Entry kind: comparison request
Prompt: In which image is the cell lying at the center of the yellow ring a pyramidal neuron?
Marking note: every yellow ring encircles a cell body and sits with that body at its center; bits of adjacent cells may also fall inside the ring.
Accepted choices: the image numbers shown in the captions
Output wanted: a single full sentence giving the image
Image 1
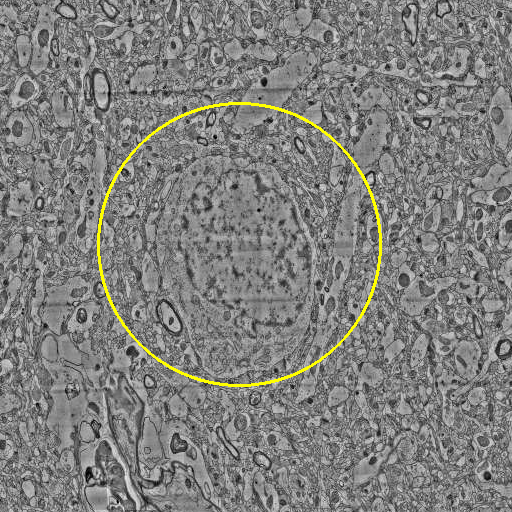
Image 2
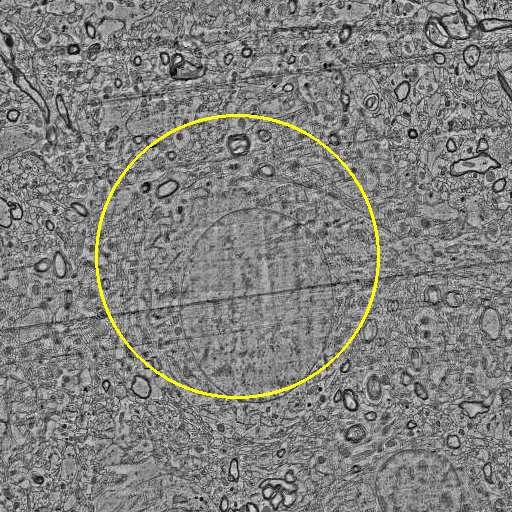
In image 2, the ringed cell at the center matches the prompt.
